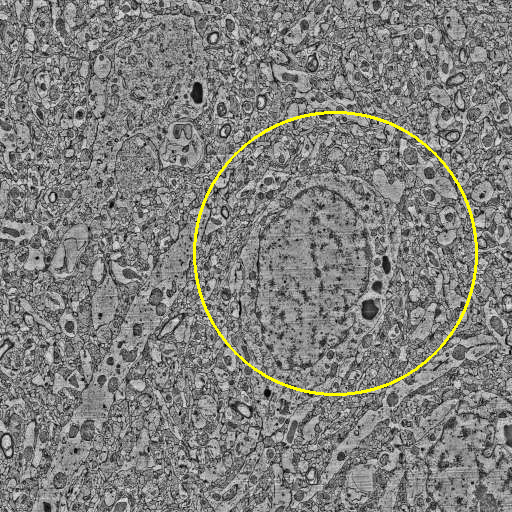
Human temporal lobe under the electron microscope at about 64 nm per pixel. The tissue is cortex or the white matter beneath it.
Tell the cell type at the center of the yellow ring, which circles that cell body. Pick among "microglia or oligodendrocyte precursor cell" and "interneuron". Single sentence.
The ring is centered on the body of an interneuron.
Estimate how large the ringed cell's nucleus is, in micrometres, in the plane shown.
The nucleus has a long axis of about 12 micrometres and a short axis of about 7 micrometres in this plane.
